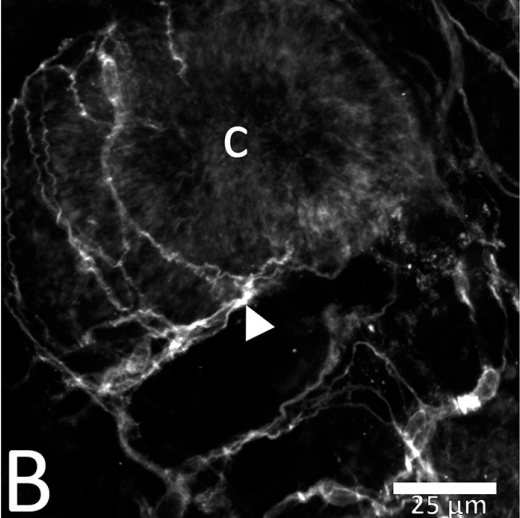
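Small bright thickenings appear along the processes, especially where they branch or meet. The crypt itself shows only faint radial background staining.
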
